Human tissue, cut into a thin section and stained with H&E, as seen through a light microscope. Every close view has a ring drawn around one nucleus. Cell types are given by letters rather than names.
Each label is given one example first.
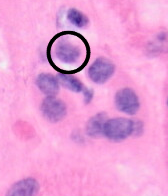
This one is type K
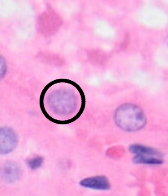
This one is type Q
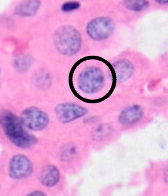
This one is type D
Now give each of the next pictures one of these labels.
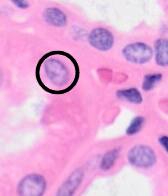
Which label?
type Q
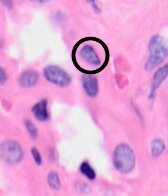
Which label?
type K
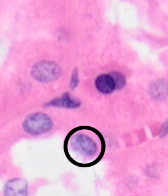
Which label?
type D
